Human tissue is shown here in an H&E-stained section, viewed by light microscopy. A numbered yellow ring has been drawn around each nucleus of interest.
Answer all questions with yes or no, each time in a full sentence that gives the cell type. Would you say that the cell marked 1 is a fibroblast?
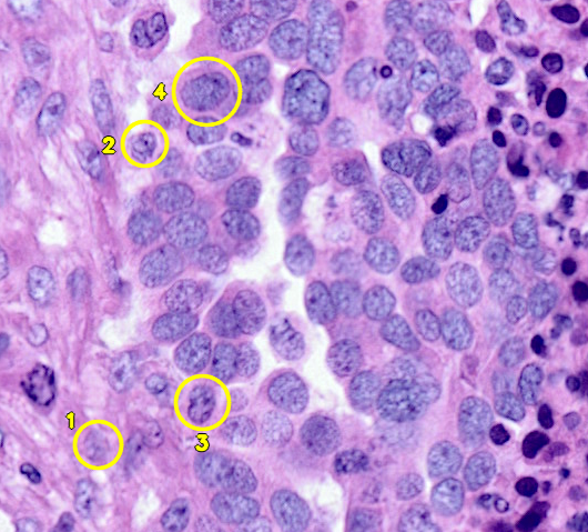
Yes. The cell carrying number 1 is a fibroblast.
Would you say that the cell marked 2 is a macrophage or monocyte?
Yes, for number 2, the cell is a macrophage or monocyte.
